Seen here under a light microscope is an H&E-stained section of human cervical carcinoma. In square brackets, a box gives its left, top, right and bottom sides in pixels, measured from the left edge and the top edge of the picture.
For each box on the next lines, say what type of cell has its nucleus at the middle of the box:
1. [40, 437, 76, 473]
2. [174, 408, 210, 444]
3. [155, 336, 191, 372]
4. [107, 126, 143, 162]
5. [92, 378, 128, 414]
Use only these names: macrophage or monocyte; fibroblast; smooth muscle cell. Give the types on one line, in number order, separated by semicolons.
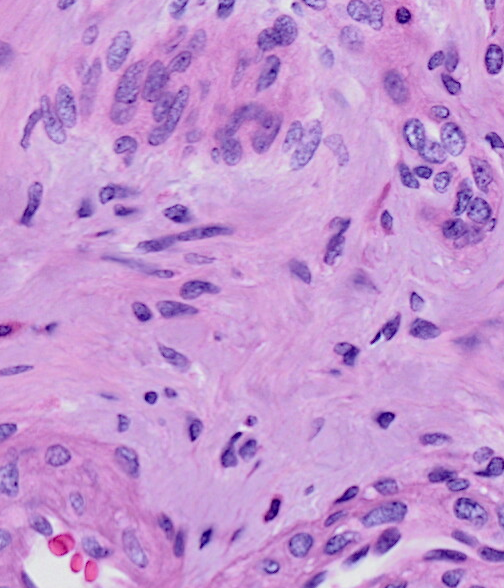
smooth muscle cell; fibroblast; fibroblast; smooth muscle cell; fibroblast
